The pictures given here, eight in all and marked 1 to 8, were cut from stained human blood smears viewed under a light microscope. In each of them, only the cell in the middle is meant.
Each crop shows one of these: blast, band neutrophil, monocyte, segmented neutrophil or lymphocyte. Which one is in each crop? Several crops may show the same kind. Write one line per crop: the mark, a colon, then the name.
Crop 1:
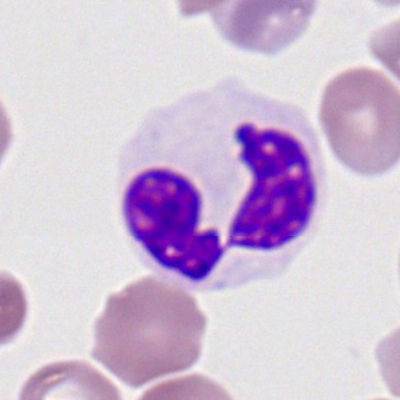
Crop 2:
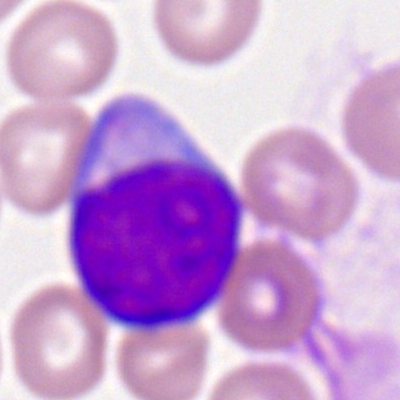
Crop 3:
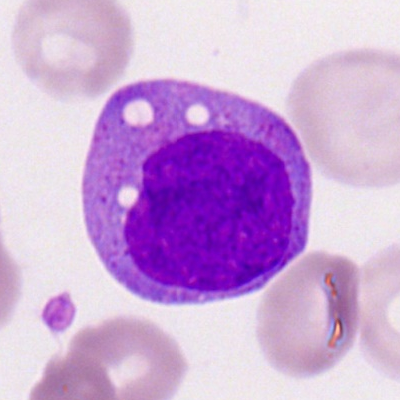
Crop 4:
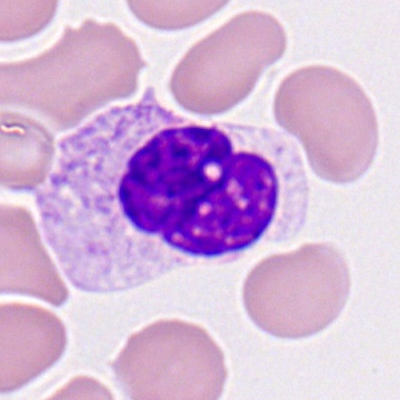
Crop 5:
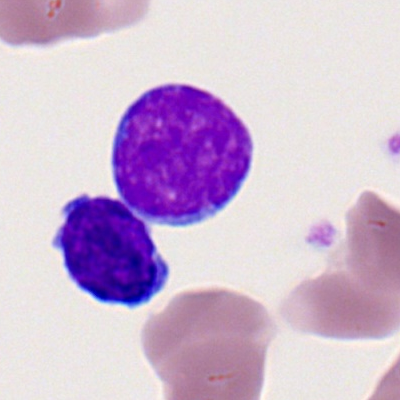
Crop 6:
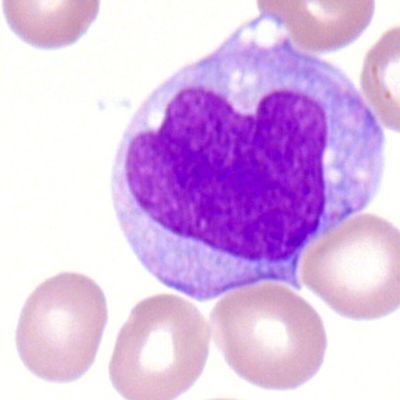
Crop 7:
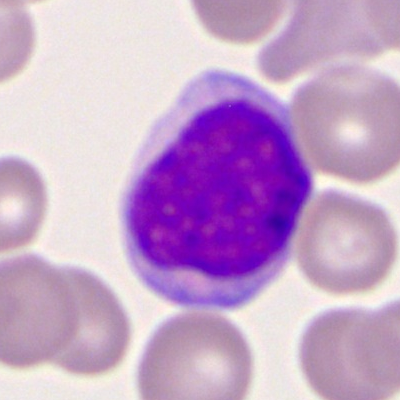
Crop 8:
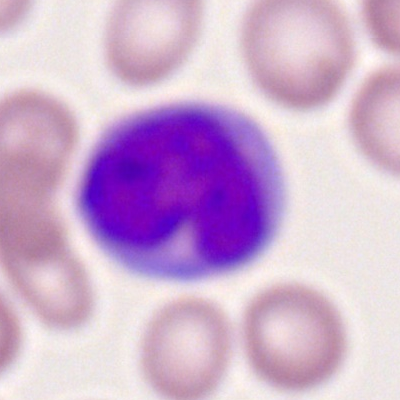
1: segmented neutrophil
2: blast
3: blast
4: segmented neutrophil
5: lymphocyte
6: monocyte
7: blast
8: monocyte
